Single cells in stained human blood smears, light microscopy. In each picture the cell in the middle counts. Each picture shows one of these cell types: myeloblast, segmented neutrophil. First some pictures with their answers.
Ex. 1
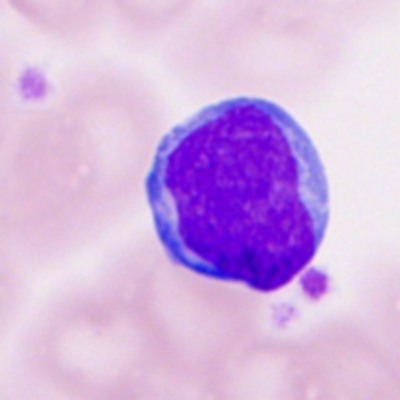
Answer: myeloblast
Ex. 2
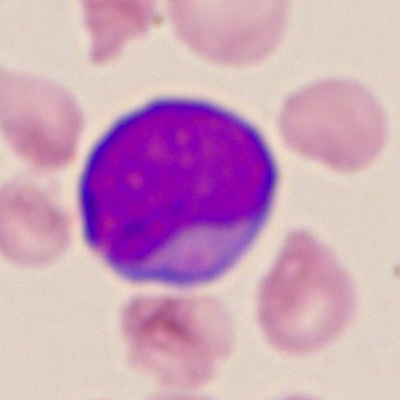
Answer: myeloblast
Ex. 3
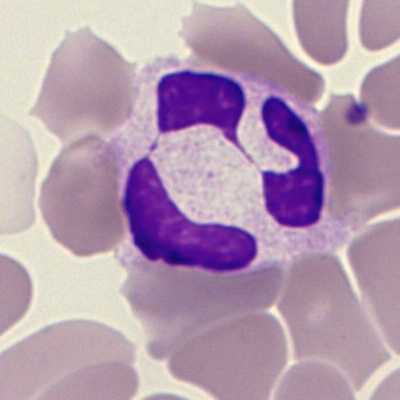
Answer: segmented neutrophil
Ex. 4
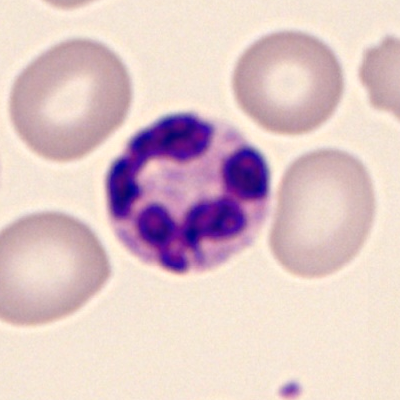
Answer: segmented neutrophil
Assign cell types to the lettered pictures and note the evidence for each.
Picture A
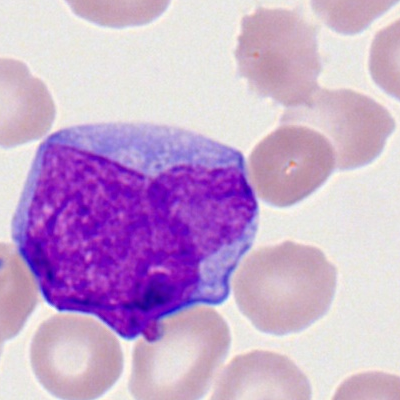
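myeloblast. Reason: The nucleus fills most of the cell.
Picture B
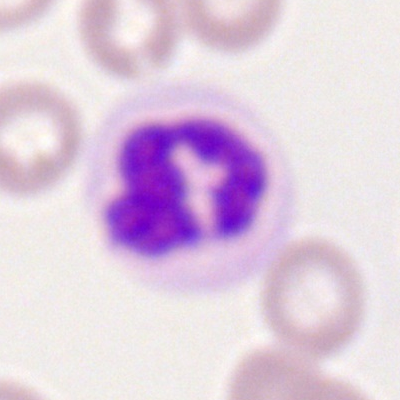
segmented neutrophil. Reason: The nucleus is lobed, with a pale cleft running through its middle.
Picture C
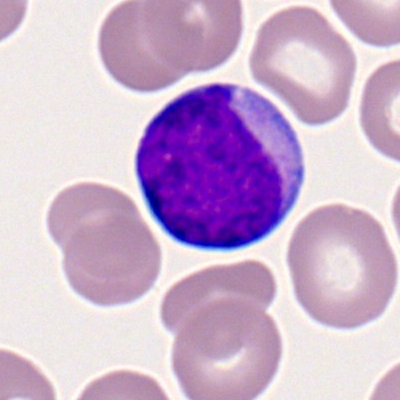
myeloblast. Reason: The nucleus fills most of the cell.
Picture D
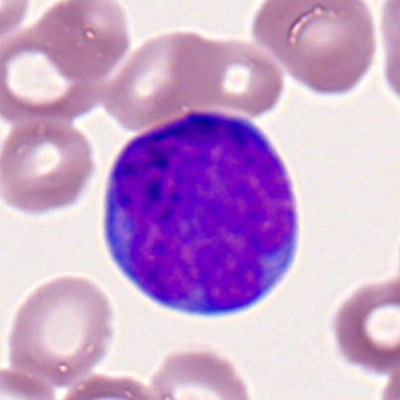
myeloblast. Reason: The nucleus fills almost the whole cell.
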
